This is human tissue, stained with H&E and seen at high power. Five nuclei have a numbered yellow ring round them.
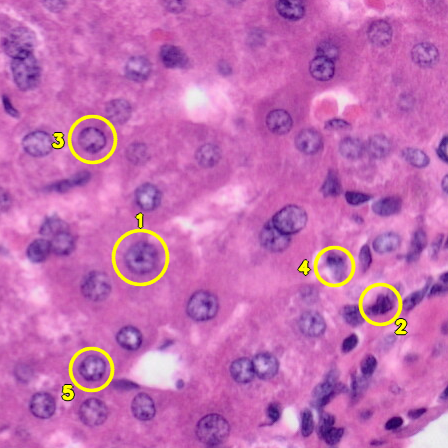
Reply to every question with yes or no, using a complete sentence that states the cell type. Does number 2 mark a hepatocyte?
No, cell 2 is to be read as a fibroblast or stellate cell, not a hepatocyte.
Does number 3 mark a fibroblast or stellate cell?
No, with respect, cell 3 is a hepatocyte rather than a fibroblast or stellate cell.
